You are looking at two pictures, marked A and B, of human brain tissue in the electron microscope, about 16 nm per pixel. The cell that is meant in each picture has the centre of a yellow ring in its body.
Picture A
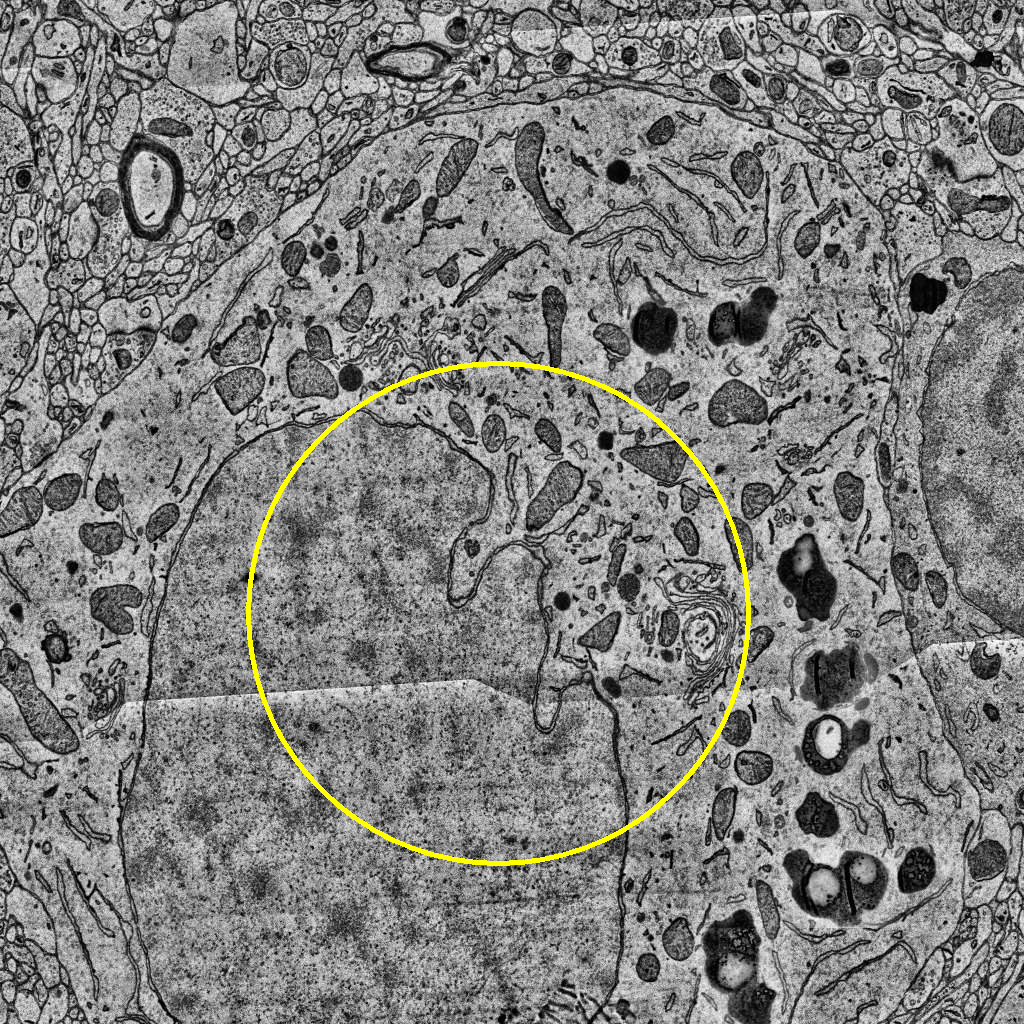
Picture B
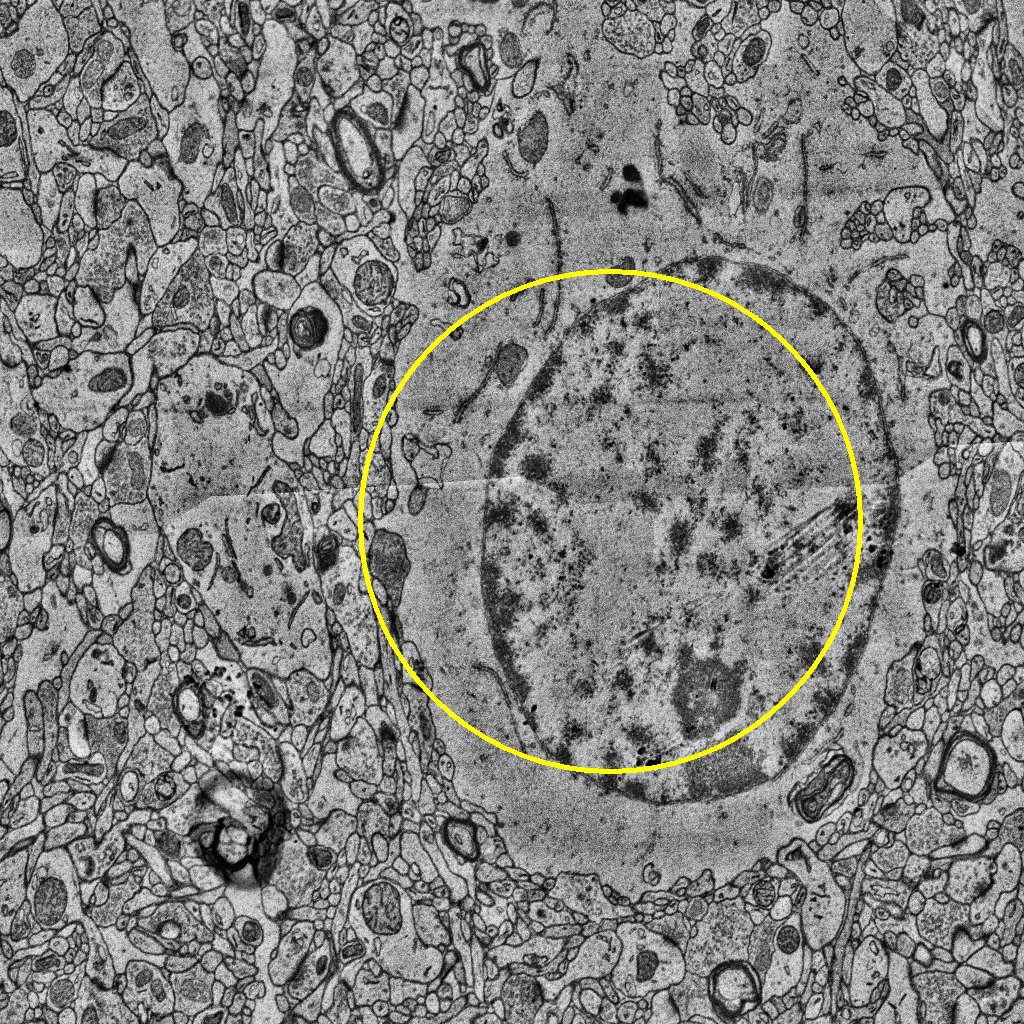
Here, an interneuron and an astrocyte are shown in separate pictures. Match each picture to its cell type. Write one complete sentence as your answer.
Picture A shows an interneuron and picture B shows an astrocyte.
